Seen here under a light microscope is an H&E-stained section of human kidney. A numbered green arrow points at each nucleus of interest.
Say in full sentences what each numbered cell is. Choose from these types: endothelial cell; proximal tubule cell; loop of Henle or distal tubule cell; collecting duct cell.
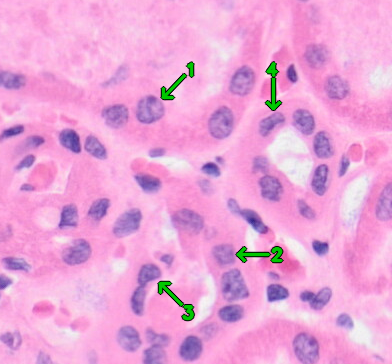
Cell 1 is a proximal tubule cell. Cells 2, 3 and 4 are collecting duct cells.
